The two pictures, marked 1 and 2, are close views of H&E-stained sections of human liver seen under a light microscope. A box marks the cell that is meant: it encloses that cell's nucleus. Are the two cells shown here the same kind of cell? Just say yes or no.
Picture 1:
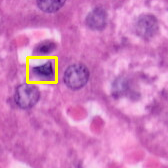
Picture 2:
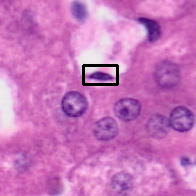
no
